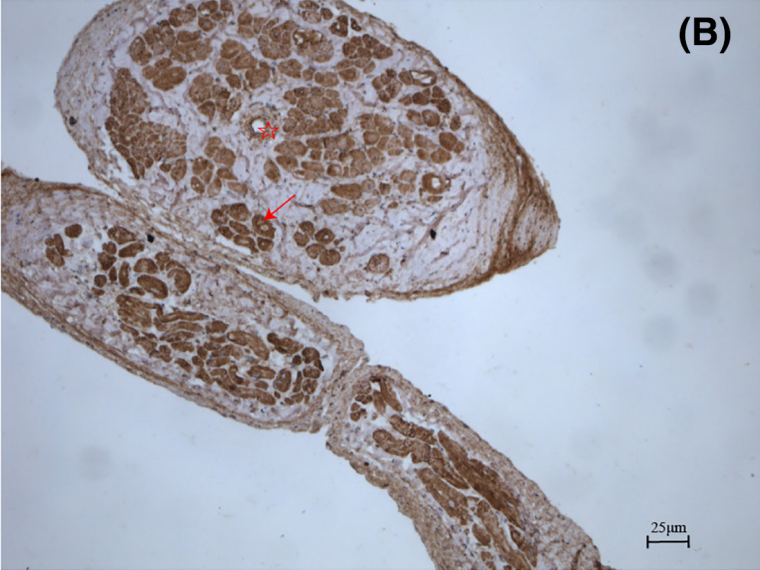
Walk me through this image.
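Cross and oblique sections of false tendon strands contain many groups of large, rounded Purkinje fibres stained brown, arranged in clustered bundles within loose, pale connective tissue. Each strand is bounded by a denser fibrous sheath, and a small vessel lumen lies between the bundles in the largest strand. In the lower strands the fibres appear more elongated where they are cut obliquely.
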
